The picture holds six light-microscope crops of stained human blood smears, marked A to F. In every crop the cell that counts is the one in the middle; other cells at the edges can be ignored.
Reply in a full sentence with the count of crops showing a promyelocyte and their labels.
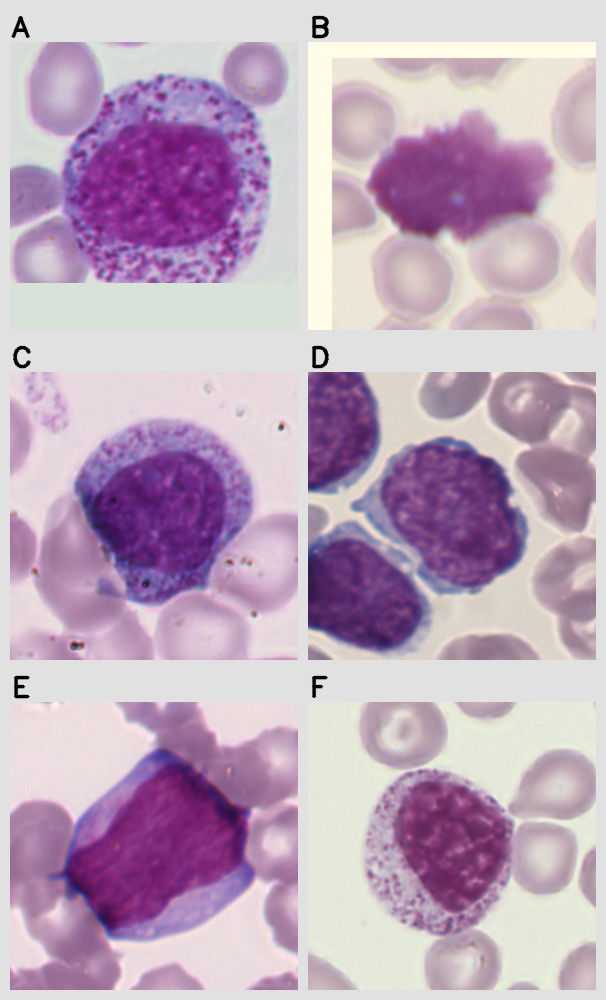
Crops A and C show promyelocytes, which makes two such crops.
